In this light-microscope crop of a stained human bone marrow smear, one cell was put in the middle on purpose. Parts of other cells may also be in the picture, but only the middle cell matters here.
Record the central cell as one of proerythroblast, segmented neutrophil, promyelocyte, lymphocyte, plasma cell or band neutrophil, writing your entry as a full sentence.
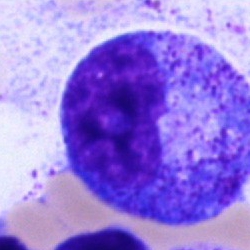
Framed in the middle of the crop is a promyelocyte.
